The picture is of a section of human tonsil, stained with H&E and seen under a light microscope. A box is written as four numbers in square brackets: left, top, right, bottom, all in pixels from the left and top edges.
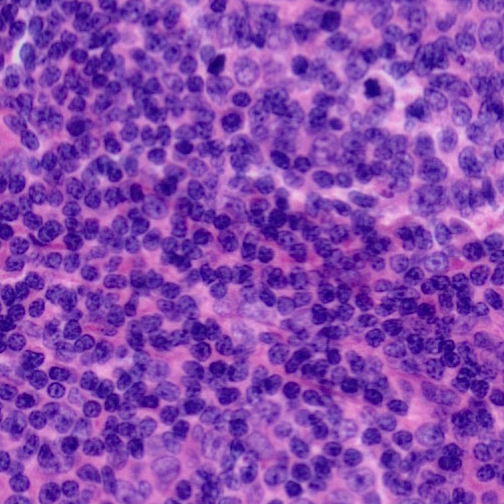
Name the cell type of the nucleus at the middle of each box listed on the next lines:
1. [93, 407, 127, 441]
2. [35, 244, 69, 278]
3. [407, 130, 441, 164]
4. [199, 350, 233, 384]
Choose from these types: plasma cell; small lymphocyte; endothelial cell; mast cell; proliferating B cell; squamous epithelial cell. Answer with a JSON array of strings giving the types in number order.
["small lymphocyte", "small lymphocyte", "proliferating B cell", "small lymphocyte"]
